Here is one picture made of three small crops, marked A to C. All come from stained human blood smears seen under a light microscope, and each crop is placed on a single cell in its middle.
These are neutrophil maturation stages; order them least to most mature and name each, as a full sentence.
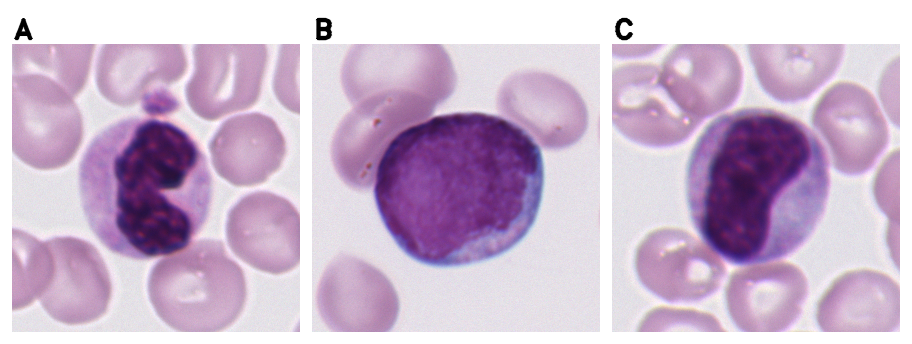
Ranked by maturation stage, earliest first, the crops read crop B (a blast), crop C (a metamyelocyte) and crop A (a segmented neutrophil).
